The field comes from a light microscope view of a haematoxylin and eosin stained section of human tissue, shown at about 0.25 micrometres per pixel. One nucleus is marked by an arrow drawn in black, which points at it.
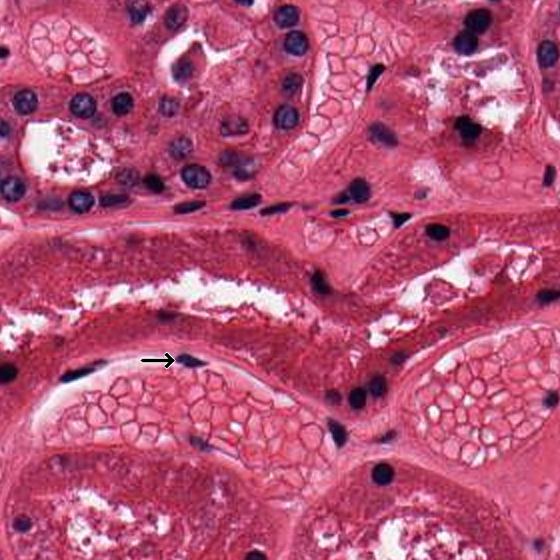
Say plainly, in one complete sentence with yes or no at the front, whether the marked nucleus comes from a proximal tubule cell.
No, it is not a proximal tubule cell that owns the marked nucleus but a supporting cell.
